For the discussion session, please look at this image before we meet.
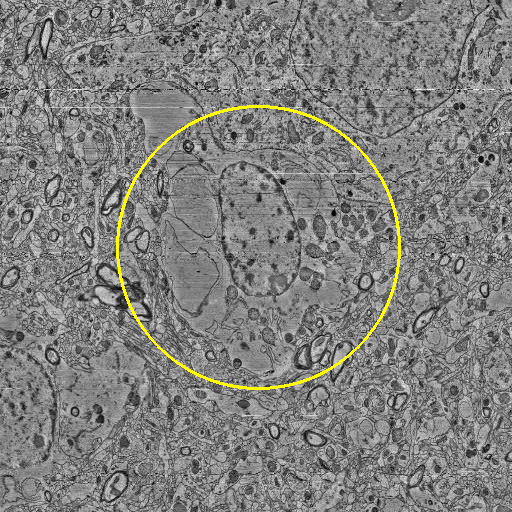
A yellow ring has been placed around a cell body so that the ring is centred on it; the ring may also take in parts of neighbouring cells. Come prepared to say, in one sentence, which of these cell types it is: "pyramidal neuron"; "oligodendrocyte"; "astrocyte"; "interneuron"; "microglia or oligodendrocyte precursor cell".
The cell centred in the ring is an astrocyte.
